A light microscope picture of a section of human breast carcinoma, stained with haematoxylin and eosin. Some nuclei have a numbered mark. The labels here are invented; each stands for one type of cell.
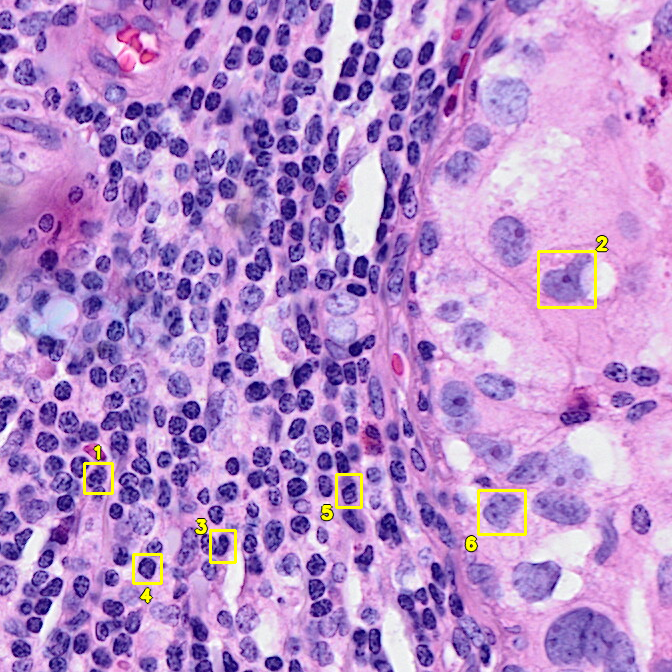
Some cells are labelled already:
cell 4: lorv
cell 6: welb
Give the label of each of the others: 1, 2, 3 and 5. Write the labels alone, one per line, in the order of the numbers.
lorv
welb
lorv
lorv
